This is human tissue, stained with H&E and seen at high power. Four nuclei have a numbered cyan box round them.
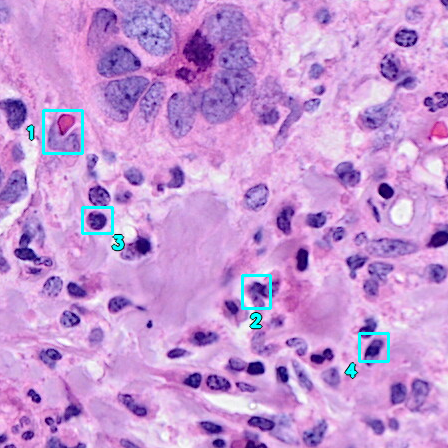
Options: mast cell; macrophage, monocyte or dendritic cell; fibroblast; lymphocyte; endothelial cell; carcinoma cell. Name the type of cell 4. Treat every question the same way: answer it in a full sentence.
The cell identified by number 4 is a lymphocyte.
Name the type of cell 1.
The cell indicated with the number 1 is classed as an endothelial cell.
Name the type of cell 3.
The marked nucleus 3 is that of a lymphocyte.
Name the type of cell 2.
Number 2 among the marked cells is a lymphocyte.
